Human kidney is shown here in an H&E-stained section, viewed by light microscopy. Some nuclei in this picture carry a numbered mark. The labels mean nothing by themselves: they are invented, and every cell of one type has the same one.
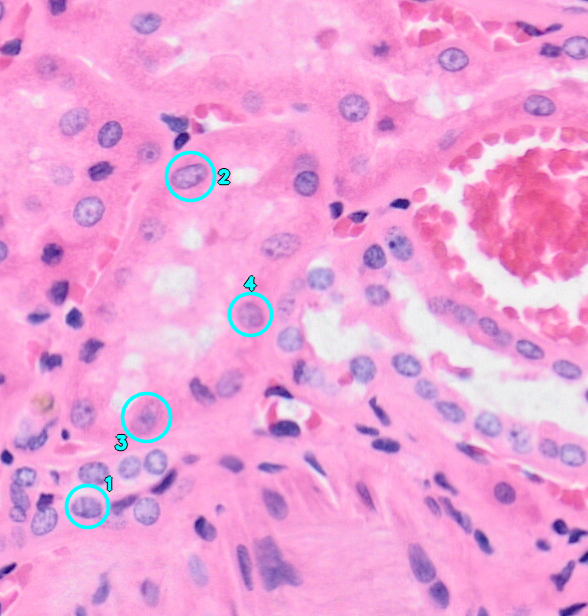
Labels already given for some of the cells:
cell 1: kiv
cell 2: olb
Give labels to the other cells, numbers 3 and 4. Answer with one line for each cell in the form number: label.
3: olb
4: olb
